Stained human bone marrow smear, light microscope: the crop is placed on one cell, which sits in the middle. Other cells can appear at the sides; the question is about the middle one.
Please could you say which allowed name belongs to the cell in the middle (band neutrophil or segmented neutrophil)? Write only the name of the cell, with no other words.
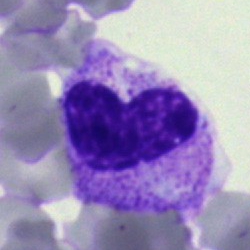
band neutrophil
